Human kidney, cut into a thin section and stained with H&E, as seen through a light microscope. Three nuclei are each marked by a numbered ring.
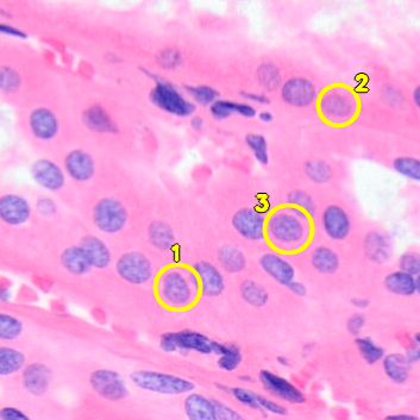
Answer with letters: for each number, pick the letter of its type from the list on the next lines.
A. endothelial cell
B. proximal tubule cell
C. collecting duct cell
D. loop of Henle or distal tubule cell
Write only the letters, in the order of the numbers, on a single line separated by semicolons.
D; B; D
